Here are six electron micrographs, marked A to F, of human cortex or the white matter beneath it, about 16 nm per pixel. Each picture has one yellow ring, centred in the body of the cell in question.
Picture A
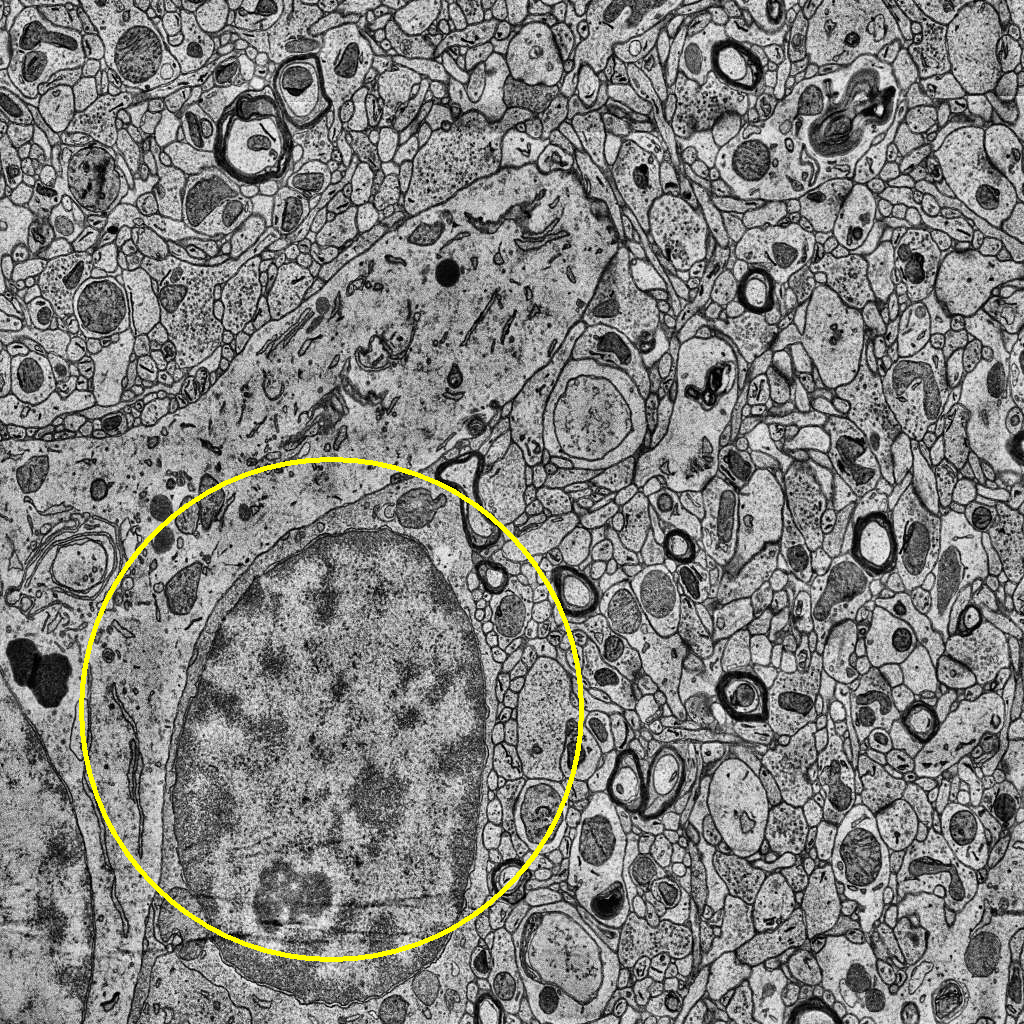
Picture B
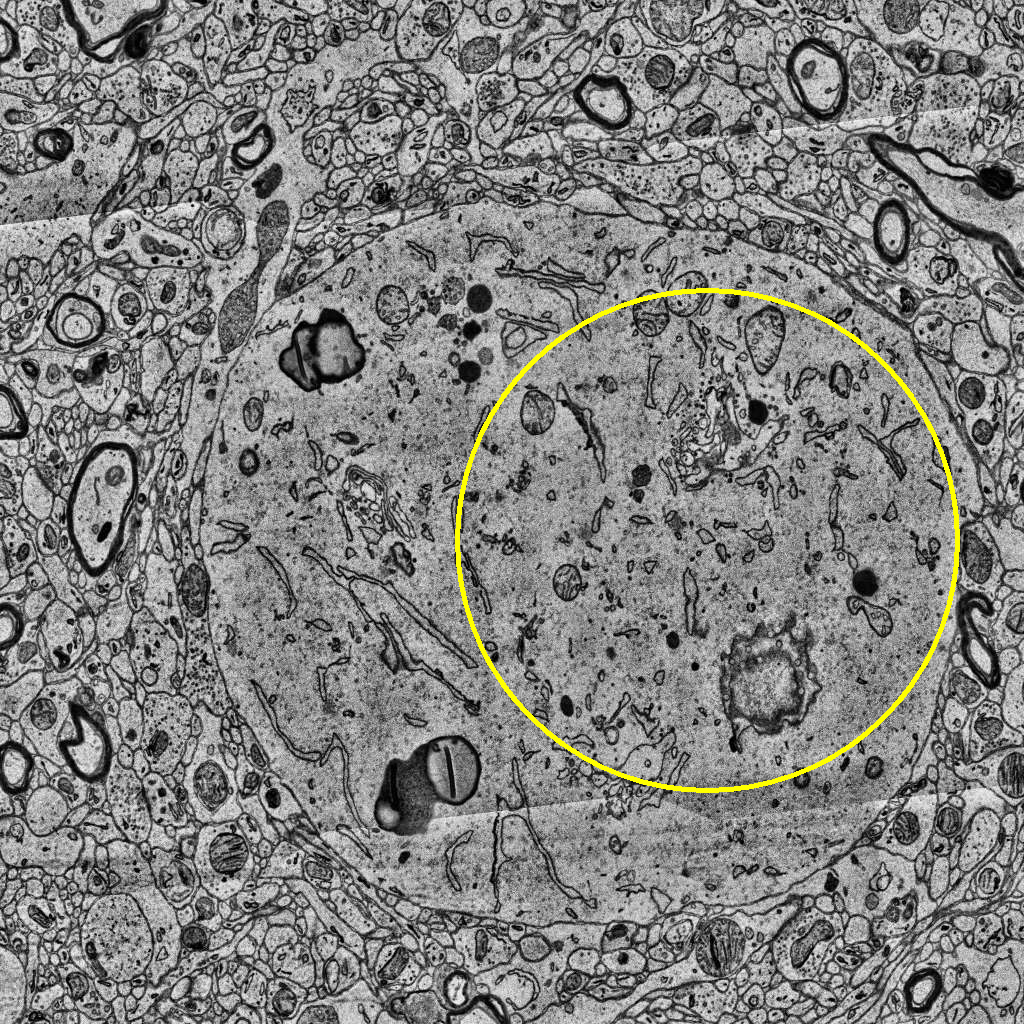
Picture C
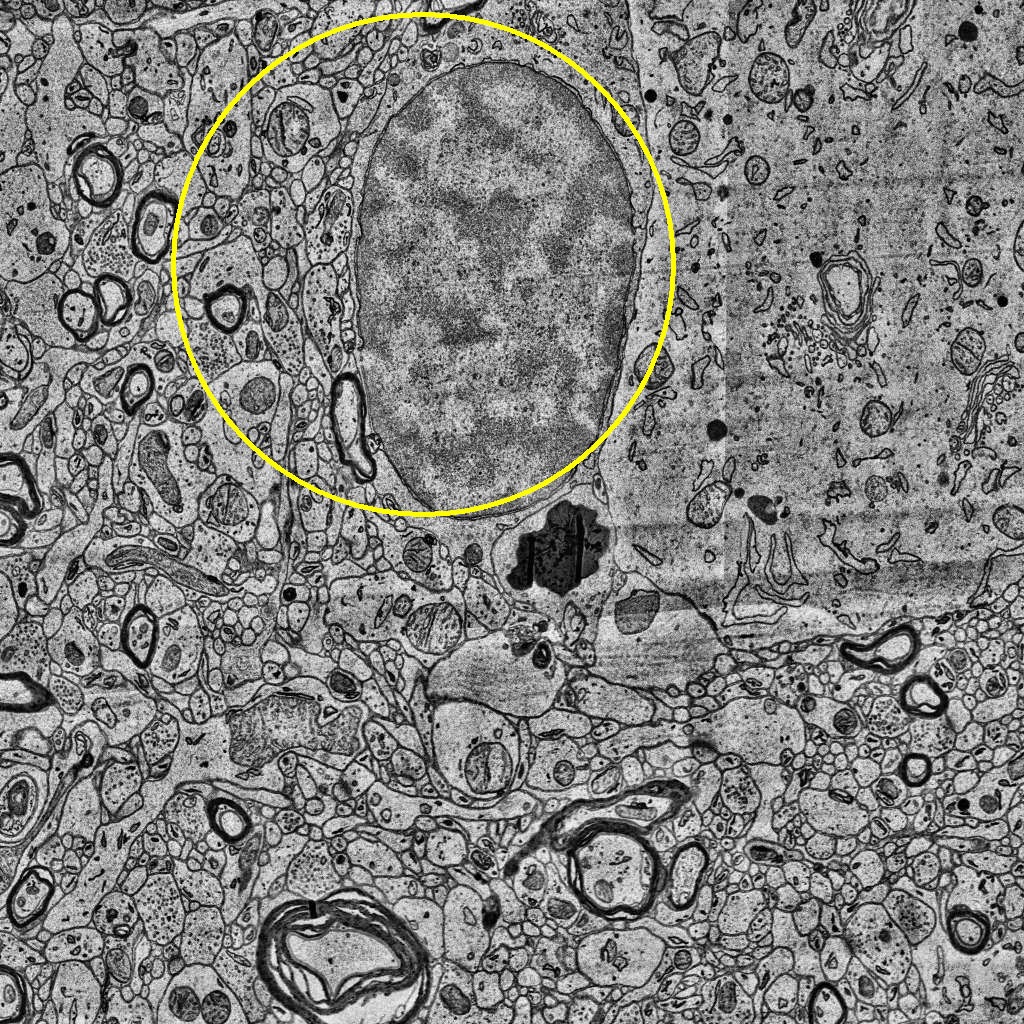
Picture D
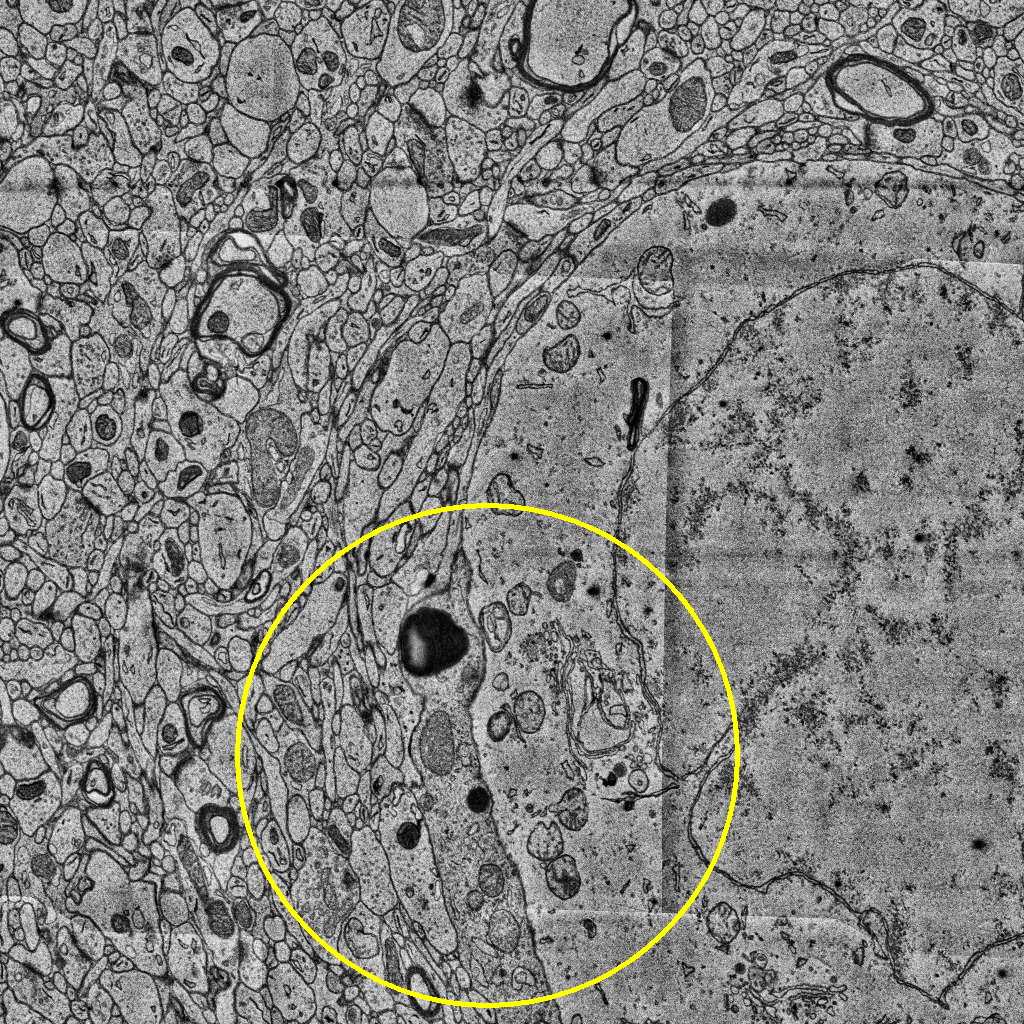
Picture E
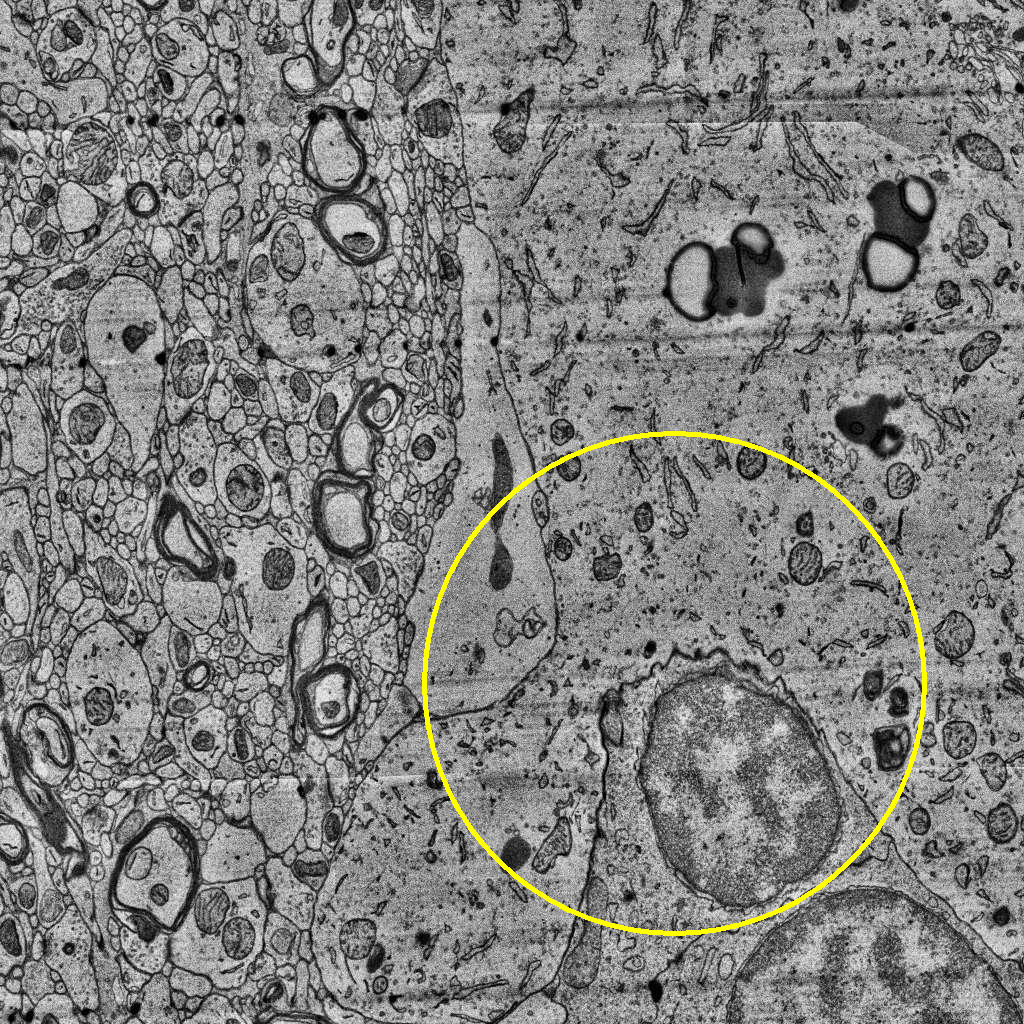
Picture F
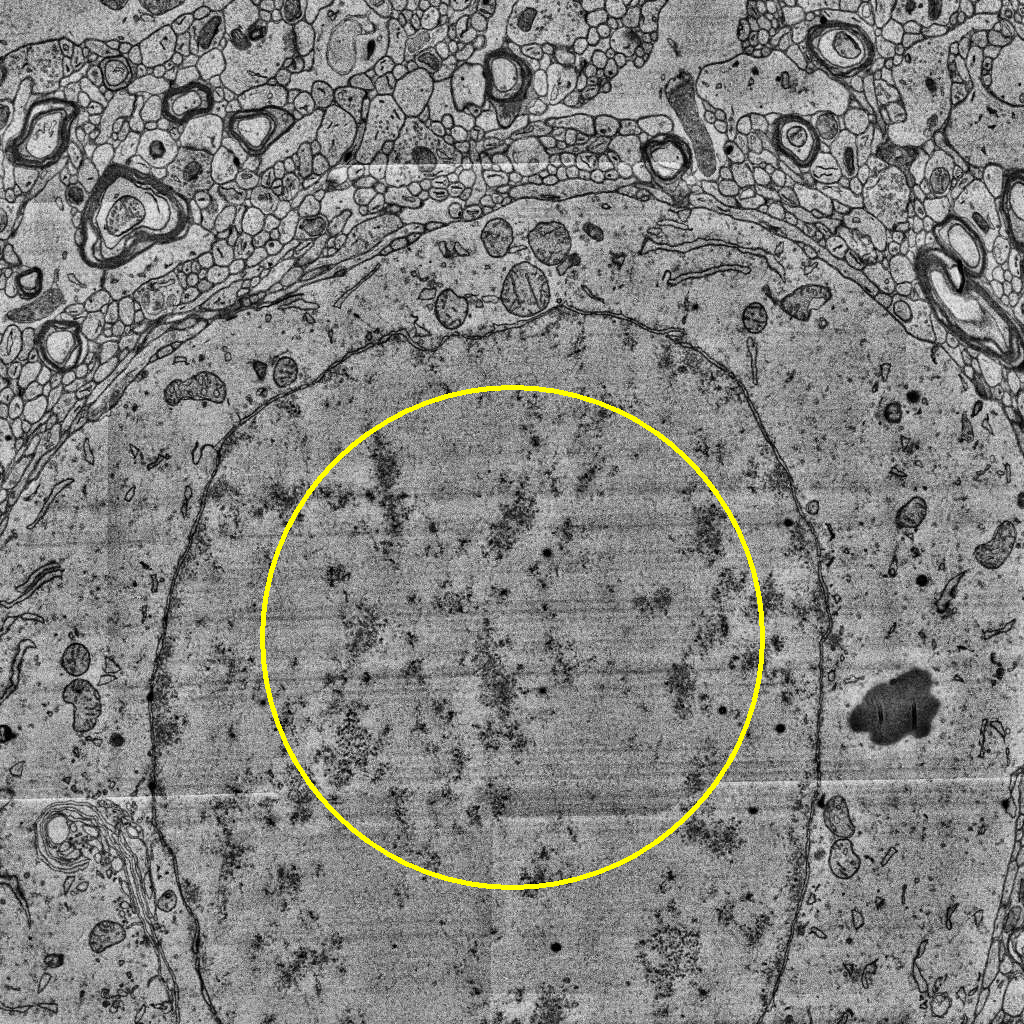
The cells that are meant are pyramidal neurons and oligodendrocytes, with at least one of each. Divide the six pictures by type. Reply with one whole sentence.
Pictures B and F show pyramidal neurons, while pictures A, C, D and E show oligodendrocytes.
